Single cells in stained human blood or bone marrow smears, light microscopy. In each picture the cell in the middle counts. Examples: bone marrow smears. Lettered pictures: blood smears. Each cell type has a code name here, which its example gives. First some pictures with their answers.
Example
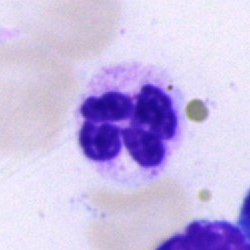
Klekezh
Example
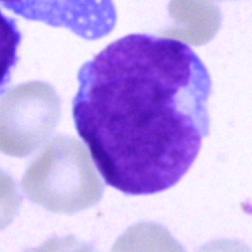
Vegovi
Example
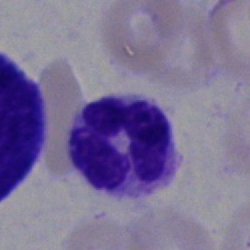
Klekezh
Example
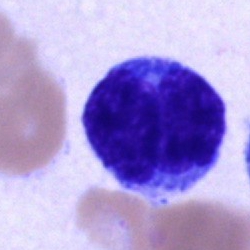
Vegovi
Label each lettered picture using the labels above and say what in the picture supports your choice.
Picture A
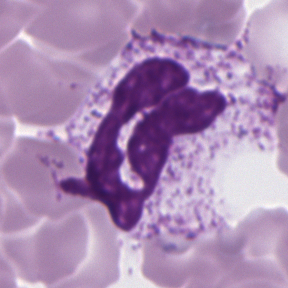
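Answer: Klekezh. The cytoplasm is abundant and very pale.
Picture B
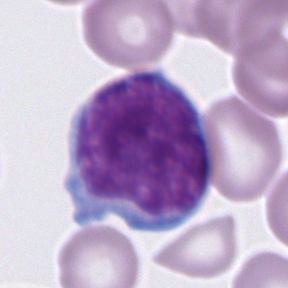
Answer: Vegovi. The cytoplasm forms a narrow rim that is widest on the lower-left side of the cell.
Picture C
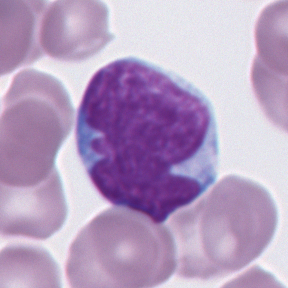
Answer: Vegovi. The cytoplasm forms a narrow rim that is widest at the left and lower right.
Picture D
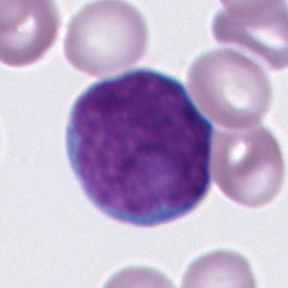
Answer: Vegovi. The cytoplasm forms only a thin rim around the nucleus.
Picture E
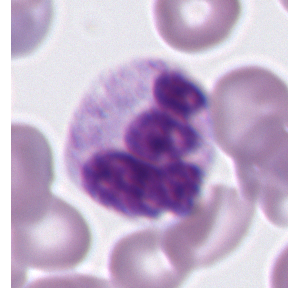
Answer: Klekezh. The cytoplasm is plentiful and pale lilac-pink.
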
